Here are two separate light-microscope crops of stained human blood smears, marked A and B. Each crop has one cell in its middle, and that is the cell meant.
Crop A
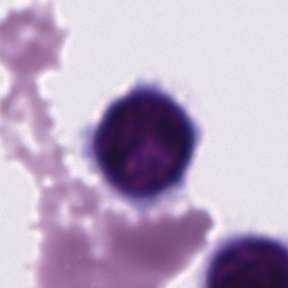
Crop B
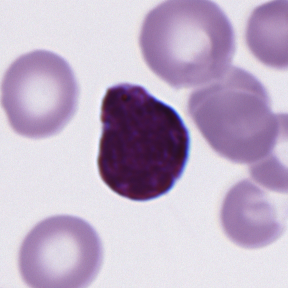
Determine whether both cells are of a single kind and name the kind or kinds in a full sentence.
No, crop B shows a myeloblast, and crop A shows a hairy cell.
